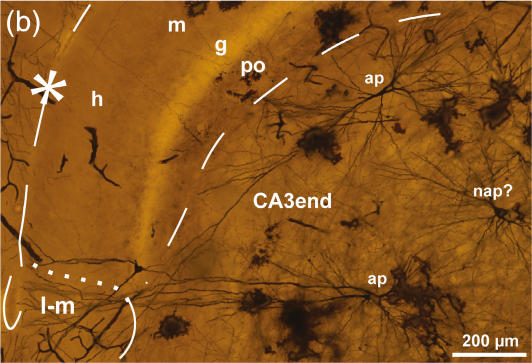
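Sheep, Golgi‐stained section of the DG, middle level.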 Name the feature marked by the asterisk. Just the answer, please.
Hippocampal fissure.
